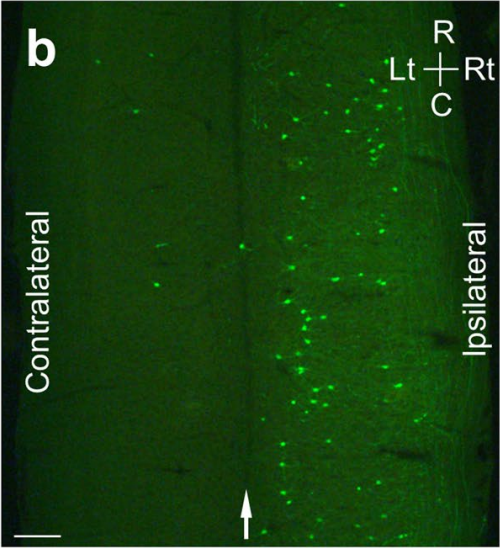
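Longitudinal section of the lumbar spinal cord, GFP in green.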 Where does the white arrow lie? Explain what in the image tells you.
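The arrow points up a thin dark longitudinal line running the length of the section. Most green cells lie on one side of this line, few on the other.
Conclusion: midline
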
